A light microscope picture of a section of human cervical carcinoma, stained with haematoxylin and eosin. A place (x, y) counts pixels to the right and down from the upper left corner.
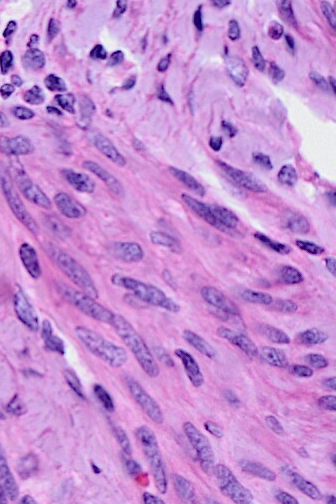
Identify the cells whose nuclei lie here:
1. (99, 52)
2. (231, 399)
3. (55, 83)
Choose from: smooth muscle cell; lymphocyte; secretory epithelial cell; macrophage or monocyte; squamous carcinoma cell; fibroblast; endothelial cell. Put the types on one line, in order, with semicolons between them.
lymphocyte; smooth muscle cell; lymphocyte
